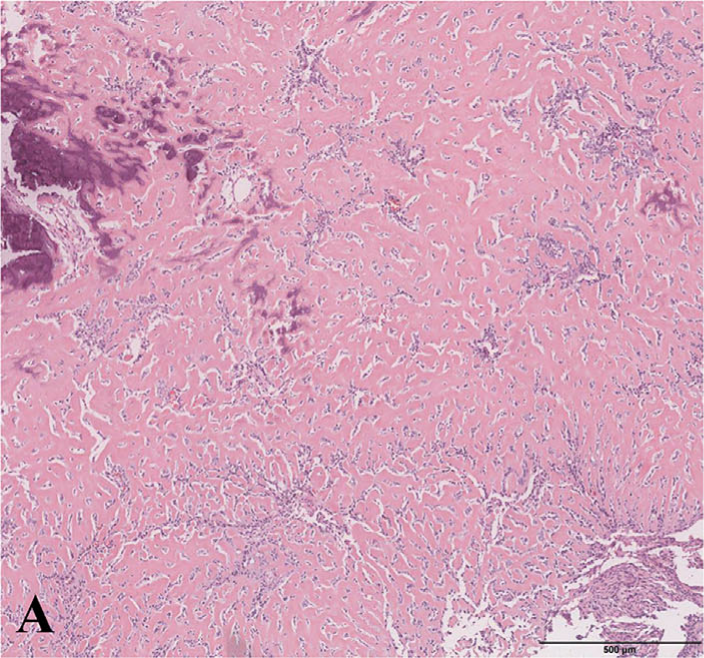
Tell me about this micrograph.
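At low power the tumor is dominated by extensive pale pink, glassy sclerotic matrix in which scattered cells run in thin cords and small nests. Cells are sparse and lie in narrow clefts that give the matrix a fissured pattern. At the upper left, dense dark purple deposits mark areas of calcification.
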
